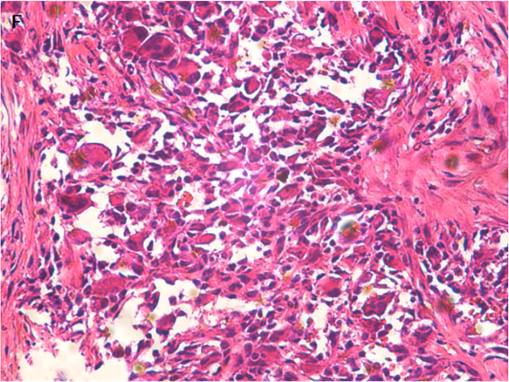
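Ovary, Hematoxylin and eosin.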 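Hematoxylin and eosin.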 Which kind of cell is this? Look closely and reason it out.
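Large cells with multiple nuclei and abundant pink cytoplasm. They are scattered among smaller pleomorphic cells.
Answer: multinucleated tumor giant cells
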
